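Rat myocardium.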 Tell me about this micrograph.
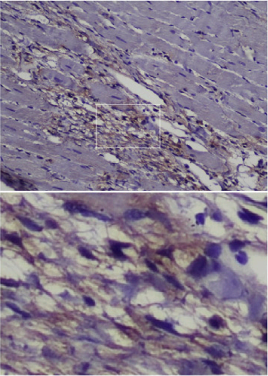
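Within the band, brown fibrillar and granular staining surrounds numerous crowded cells with dark blue nuclei. The nuclei vary from oval to elongated. The band has a loose, open texture with clear spaces between the cells. Outside the band, the muscle fibres are largely unstained.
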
